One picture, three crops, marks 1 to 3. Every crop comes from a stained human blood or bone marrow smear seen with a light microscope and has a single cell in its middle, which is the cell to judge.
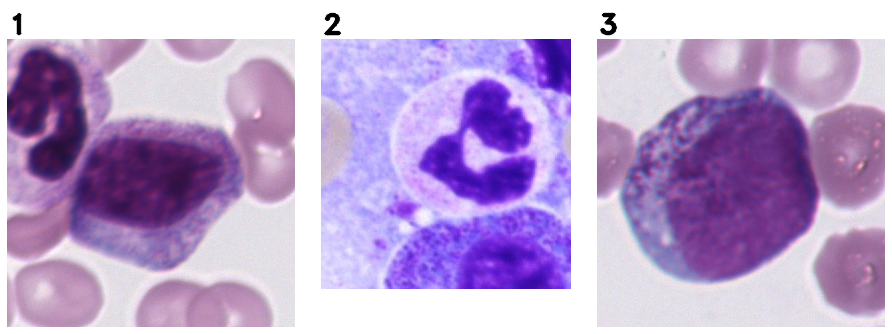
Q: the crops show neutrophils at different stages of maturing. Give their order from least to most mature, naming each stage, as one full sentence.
What results from ordering by maturity, least to most, is crop 3 (a promyelocyte), crop 1 (a myelocyte) and crop 2 (a segmented neutrophil).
